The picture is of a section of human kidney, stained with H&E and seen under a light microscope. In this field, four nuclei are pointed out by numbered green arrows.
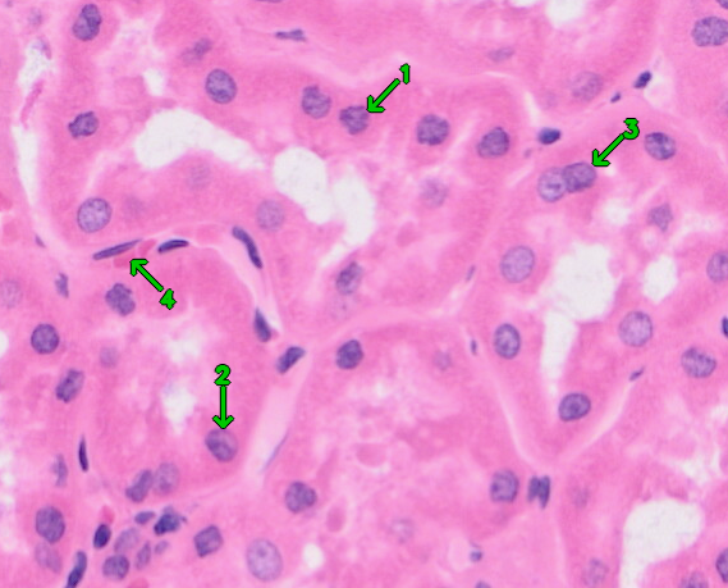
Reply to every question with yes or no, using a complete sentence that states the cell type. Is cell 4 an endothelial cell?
Yes, in the section, number 4 is an endothelial cell.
